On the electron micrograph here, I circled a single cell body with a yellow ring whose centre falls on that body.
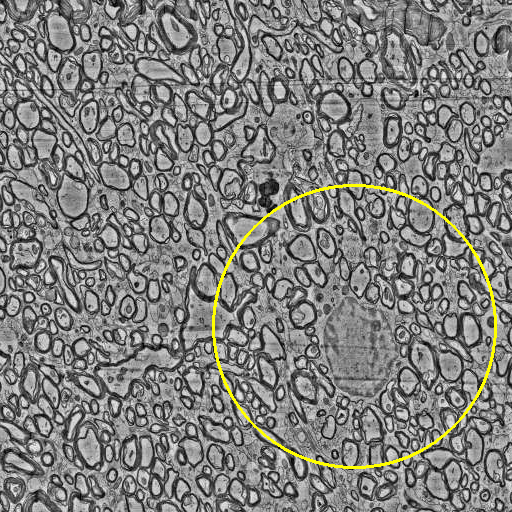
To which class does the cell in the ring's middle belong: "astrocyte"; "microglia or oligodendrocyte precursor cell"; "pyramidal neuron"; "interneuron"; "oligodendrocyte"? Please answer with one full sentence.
In this picture, the cell body circled at the ring's centre belongs to an oligodendrocyte.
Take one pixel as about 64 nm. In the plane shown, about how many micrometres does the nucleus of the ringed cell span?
The nucleus works out at approximately 6 by 5 micrometres in this plane.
